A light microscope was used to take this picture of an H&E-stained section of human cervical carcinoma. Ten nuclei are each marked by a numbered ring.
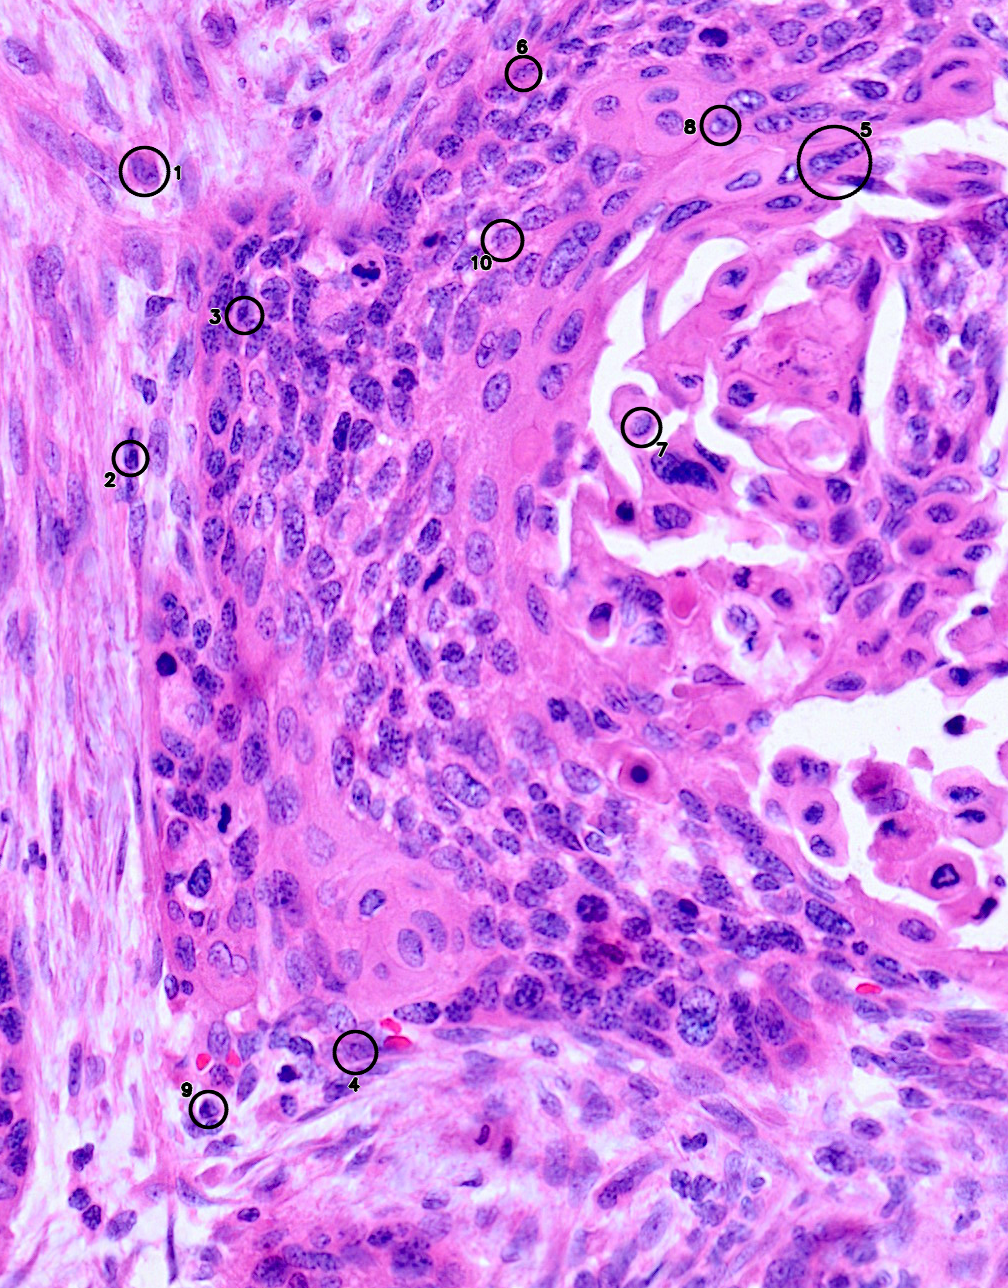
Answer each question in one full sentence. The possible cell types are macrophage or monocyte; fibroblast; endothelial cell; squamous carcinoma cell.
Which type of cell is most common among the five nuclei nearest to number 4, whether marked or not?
Most of the five nuclei nearest to number 4 are those of endothelial cells.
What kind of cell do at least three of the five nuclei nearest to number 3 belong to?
Around number 3, most of the five nearest nuclei are those of squamous carcinoma cells.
